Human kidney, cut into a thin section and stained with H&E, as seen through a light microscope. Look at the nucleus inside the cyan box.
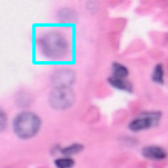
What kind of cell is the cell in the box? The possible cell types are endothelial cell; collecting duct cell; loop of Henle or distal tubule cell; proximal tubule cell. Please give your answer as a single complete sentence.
The expected answer is simply that the cell in the box is a collecting duct cell.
